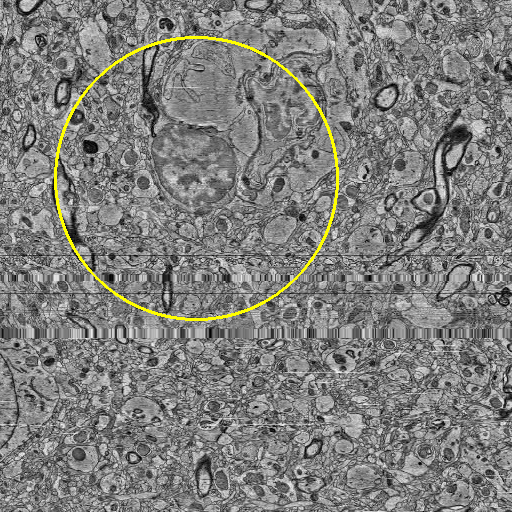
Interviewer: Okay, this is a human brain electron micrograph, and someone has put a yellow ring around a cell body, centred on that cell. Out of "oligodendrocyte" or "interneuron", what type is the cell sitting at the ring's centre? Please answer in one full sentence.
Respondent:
The cell at the centre of the yellow ring in this picture is an oligodendrocyte.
